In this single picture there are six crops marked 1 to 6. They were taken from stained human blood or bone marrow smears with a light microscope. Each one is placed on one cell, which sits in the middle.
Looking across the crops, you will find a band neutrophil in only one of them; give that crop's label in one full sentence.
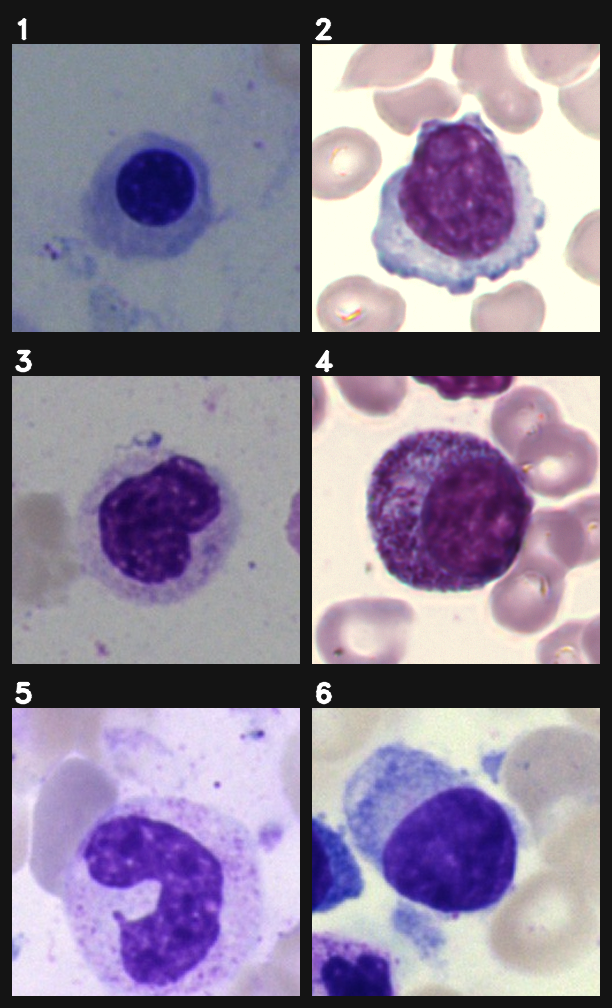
It is in crop 5, among all the crops, that a band neutrophil is present.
